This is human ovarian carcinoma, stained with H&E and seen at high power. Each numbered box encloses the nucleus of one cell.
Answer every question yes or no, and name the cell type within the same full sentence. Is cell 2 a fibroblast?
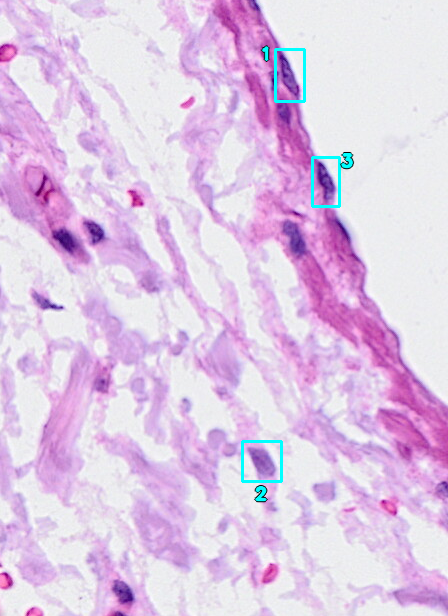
Yes, to put it simply, cell number 2 is a fibroblast.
